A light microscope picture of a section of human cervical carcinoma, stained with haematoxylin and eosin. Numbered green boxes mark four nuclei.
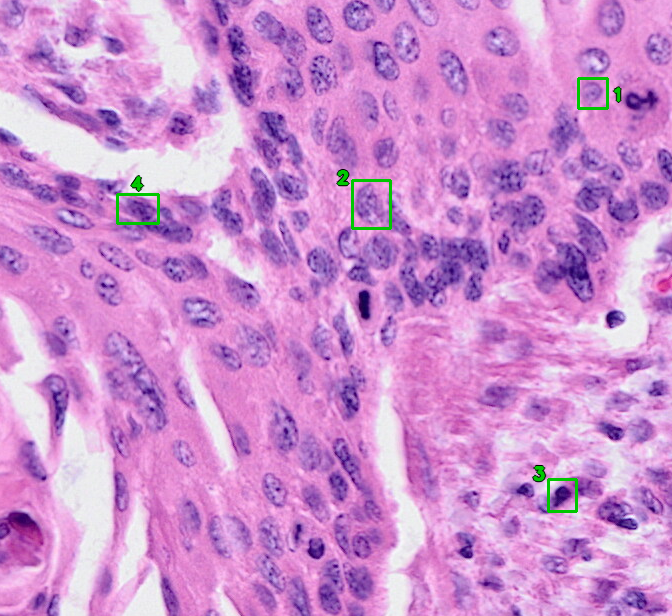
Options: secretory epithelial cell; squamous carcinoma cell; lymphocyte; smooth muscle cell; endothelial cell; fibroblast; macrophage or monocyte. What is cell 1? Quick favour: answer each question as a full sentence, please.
The cell tagged with 1 in this tissue section is a squamous carcinoma cell.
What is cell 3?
Marked with the number 3, this cell is a lymphocyte.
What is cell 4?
Belonging to a squamous carcinoma cell is the nucleus that carries the number 4.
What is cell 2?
The one numbered 2 among the marked cells is a squamous carcinoma cell.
